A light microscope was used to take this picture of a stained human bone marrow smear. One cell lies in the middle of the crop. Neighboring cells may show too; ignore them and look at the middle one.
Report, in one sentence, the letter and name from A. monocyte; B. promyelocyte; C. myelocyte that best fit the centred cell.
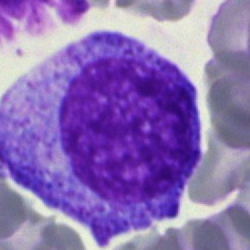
Since the cell in the middle is a promyelocyte, option B is correct.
